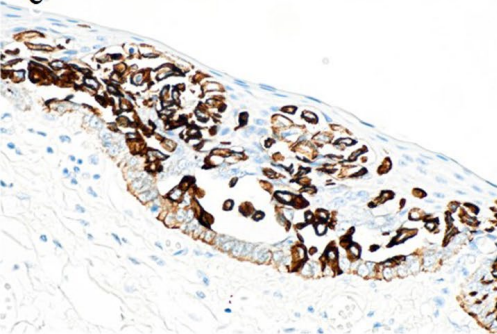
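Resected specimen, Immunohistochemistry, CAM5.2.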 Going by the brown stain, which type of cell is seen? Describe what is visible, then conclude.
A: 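Tumor cells. They lie singly and in loose clusters within the layered epithelium. The surrounding flat epithelial cells are unstained.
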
